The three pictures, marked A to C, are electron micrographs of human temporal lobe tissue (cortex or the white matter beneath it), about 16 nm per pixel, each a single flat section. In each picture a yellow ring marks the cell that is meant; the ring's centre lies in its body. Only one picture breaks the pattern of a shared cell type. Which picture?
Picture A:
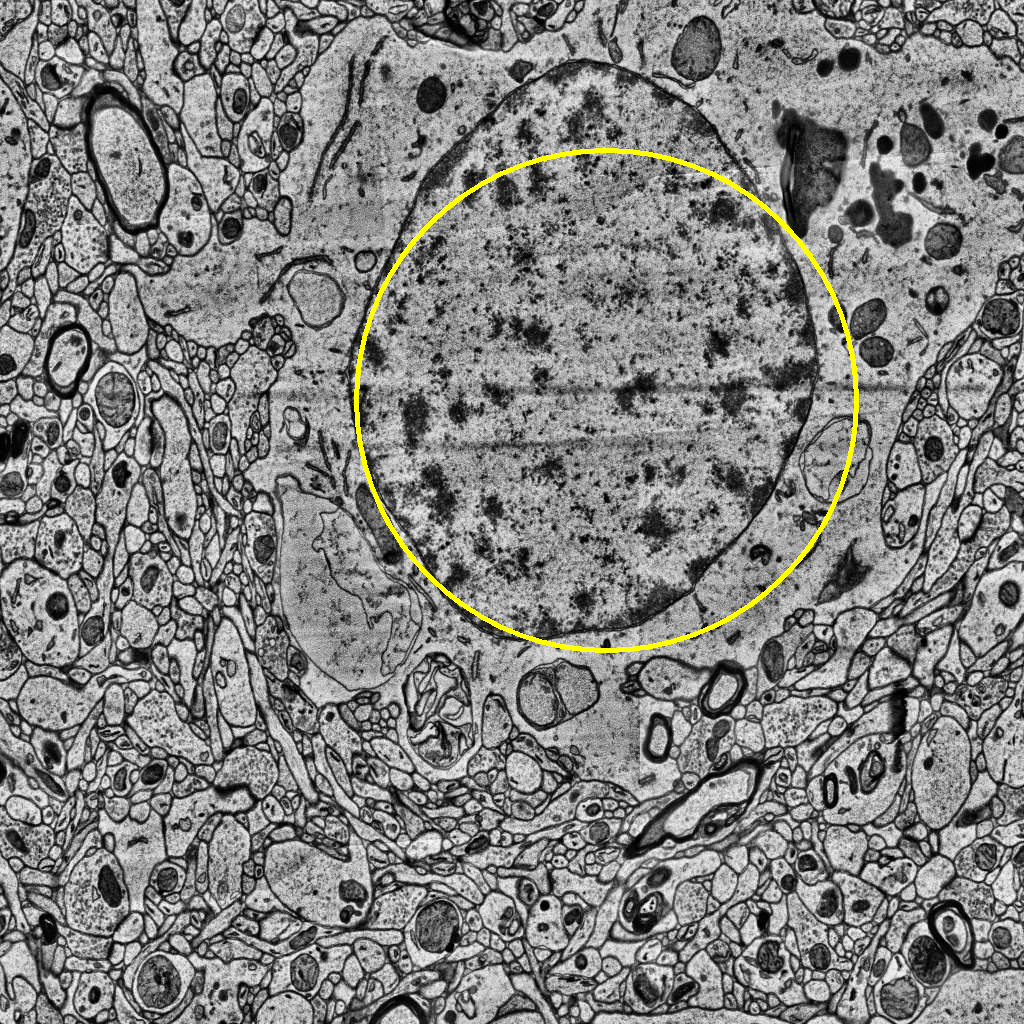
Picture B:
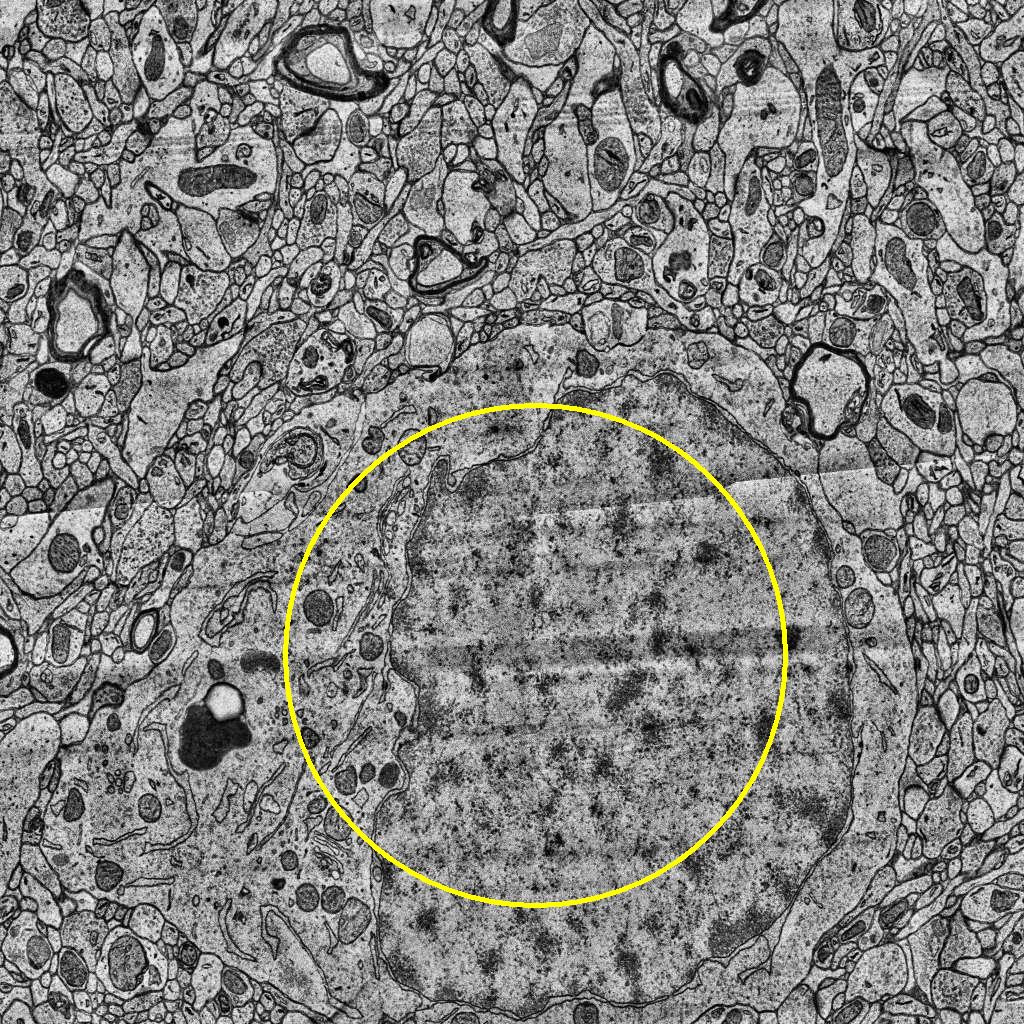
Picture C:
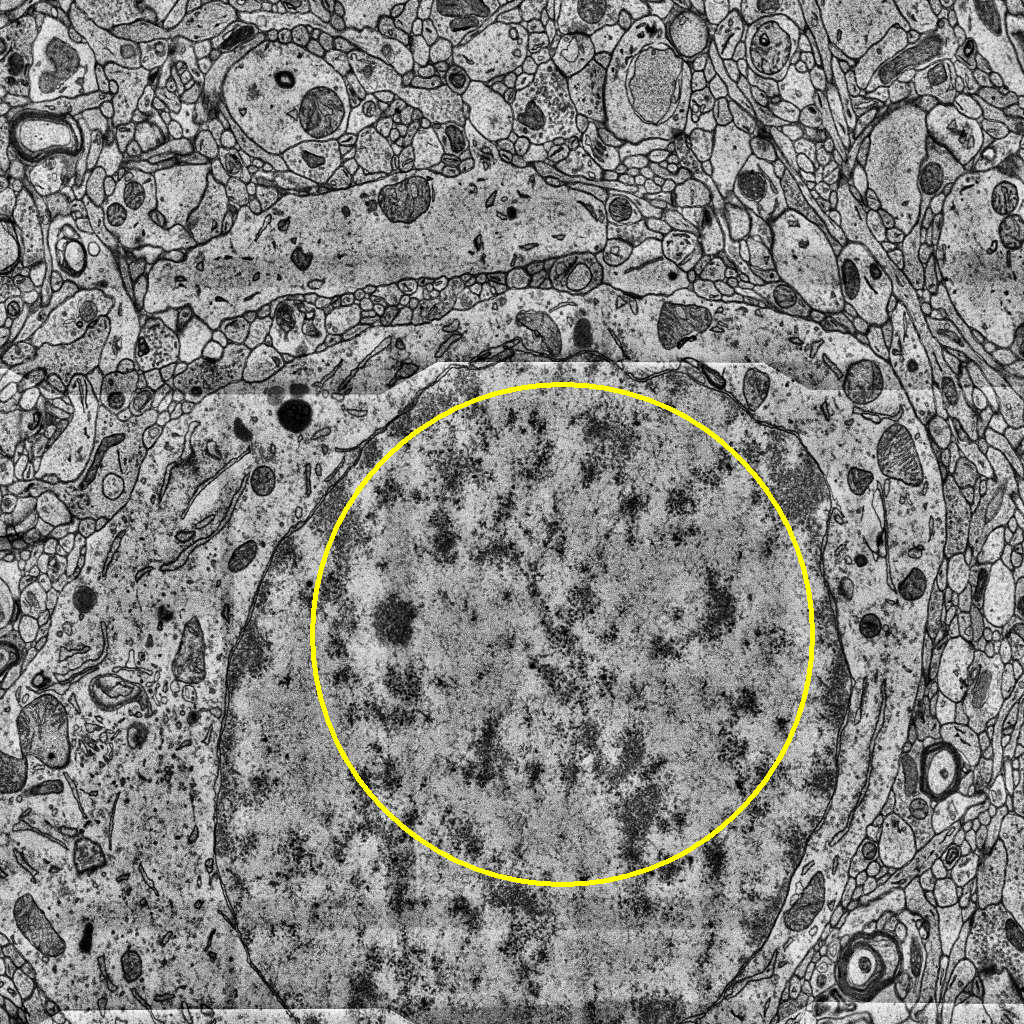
The different one is picture A; it shows an astrocyte, whereas all the others show interneurons.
